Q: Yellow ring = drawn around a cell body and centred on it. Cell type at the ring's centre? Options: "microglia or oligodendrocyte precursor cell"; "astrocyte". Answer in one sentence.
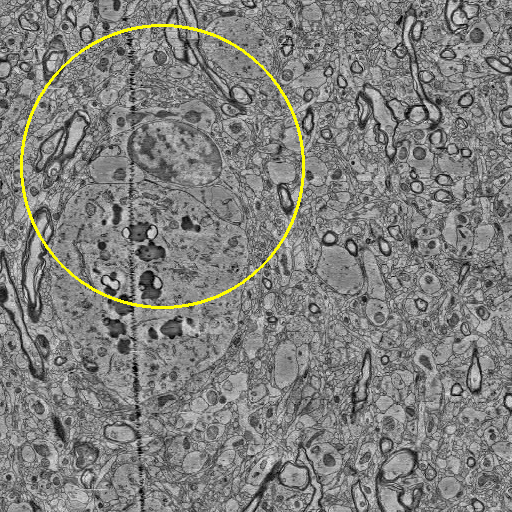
Centred in the ring is a microglial cell or oligodendrocyte precursor cell.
